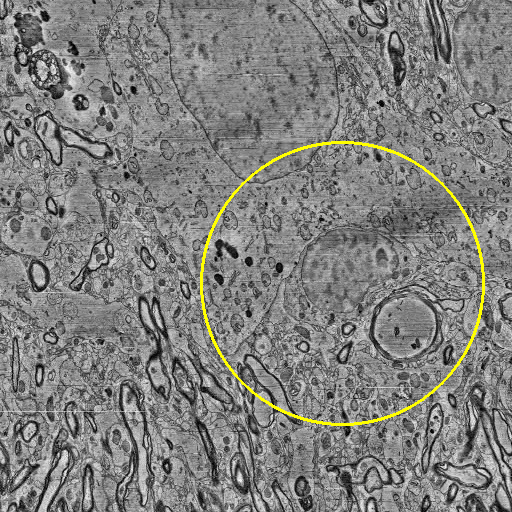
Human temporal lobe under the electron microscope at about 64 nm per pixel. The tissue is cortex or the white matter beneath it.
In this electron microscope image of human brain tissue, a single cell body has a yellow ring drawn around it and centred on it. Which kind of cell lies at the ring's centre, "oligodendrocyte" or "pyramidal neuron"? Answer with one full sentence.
It is an oligodendrocyte whose cell body lies at the centre of the yellow ring here.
